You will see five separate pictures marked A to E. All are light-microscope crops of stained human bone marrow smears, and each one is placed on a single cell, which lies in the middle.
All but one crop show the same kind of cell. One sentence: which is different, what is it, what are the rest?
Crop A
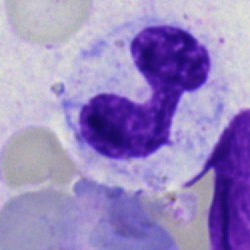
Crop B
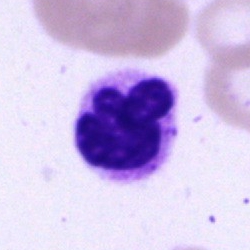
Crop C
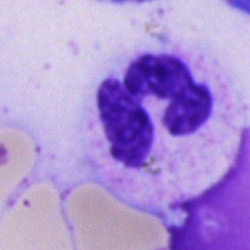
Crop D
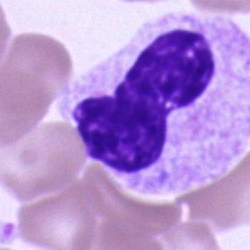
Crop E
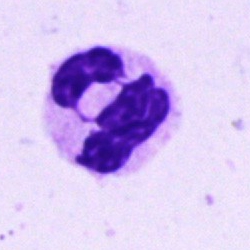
There is a band neutrophil in crop D, while all the other crops show segmented neutrophils.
